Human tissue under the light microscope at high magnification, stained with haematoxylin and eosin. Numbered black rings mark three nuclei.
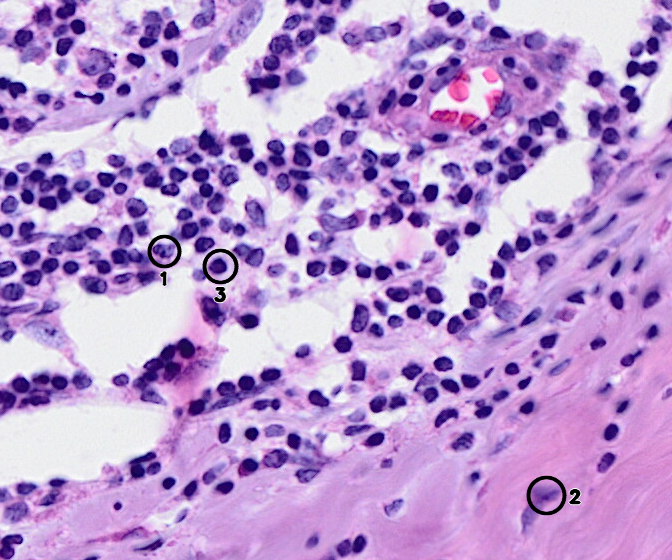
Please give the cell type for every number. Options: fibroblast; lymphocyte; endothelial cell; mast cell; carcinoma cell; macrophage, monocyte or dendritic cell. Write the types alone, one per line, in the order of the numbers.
lymphocyte
fibroblast
lymphocyte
